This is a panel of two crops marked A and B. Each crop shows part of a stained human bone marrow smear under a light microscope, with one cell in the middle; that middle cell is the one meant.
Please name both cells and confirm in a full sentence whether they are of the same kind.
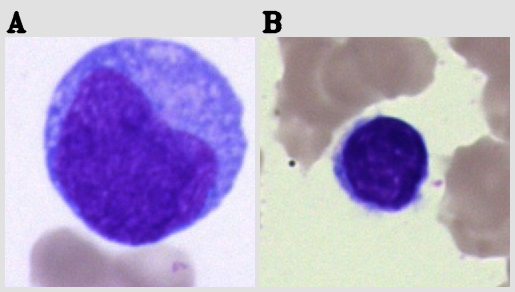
No, in this case crop A shows a blast, and crop B shows a lymphocyte.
